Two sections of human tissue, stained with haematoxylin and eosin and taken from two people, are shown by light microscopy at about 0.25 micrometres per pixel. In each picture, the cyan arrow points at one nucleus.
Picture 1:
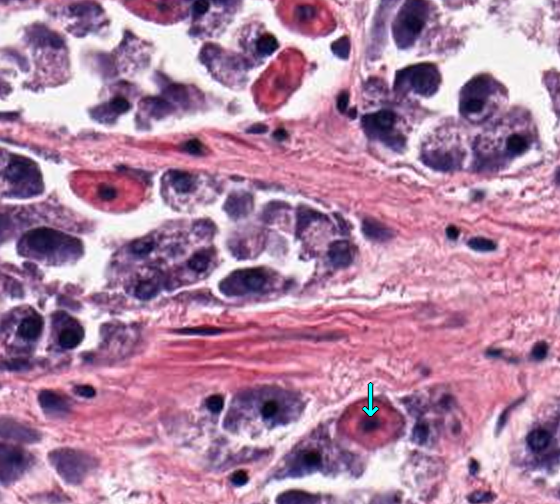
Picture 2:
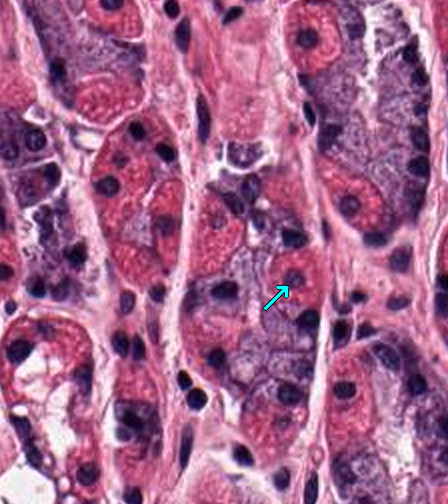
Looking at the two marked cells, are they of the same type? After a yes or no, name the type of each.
Yes, both are parietal cells.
